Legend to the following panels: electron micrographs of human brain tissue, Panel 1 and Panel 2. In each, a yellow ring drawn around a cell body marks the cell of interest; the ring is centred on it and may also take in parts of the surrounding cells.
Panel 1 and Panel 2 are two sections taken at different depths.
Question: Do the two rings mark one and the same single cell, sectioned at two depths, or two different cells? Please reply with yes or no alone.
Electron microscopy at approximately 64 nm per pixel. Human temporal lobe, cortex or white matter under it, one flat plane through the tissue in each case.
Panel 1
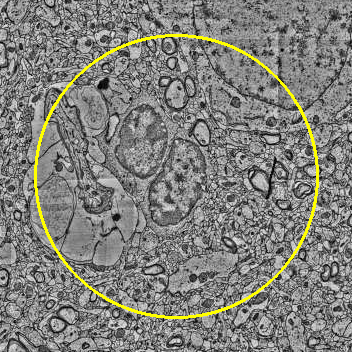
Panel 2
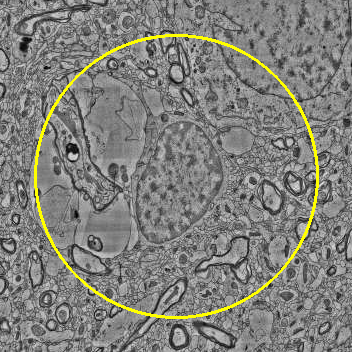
yes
